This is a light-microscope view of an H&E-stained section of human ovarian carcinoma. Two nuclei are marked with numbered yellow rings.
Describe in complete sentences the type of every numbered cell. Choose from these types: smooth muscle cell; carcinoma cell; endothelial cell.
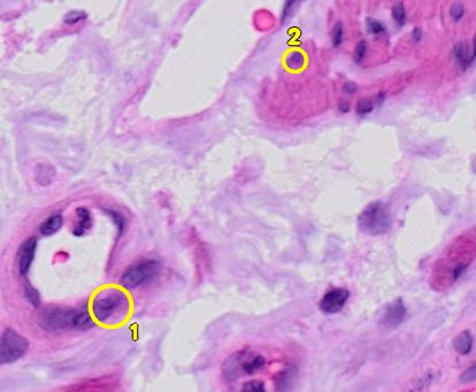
Cell 1 is an endothelial cell. Cell 2 is a smooth muscle cell.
